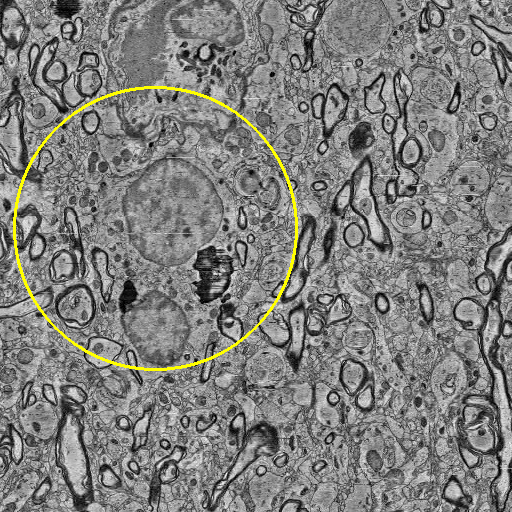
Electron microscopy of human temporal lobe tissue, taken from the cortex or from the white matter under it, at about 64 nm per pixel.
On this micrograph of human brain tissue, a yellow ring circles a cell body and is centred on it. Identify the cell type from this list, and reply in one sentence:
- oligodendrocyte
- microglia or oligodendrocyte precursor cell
The cell at the centre is an oligodendrocyte.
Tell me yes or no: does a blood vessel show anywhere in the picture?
Yes, one shows.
